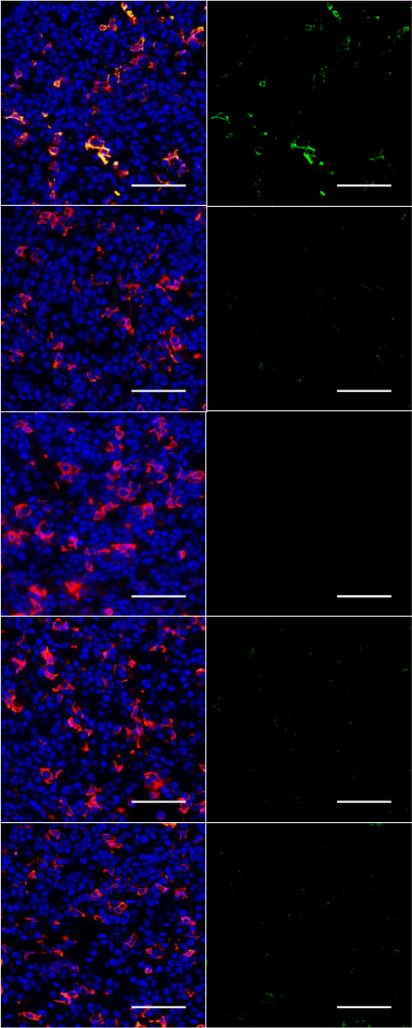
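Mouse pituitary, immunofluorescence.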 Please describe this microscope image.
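The field is crowded with small, round to oval blue nuclei of densely packed gland cells. Among them lie single red cells, irregular or polygonal in outline, with the red filling a rim of cytoplasm around a blue nucleus; some send short extensions between neighbours. In the top row the green label coincides with many of these red cells, so they appear yellow in the merged image, while in the lower rows the green column is nearly dark.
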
